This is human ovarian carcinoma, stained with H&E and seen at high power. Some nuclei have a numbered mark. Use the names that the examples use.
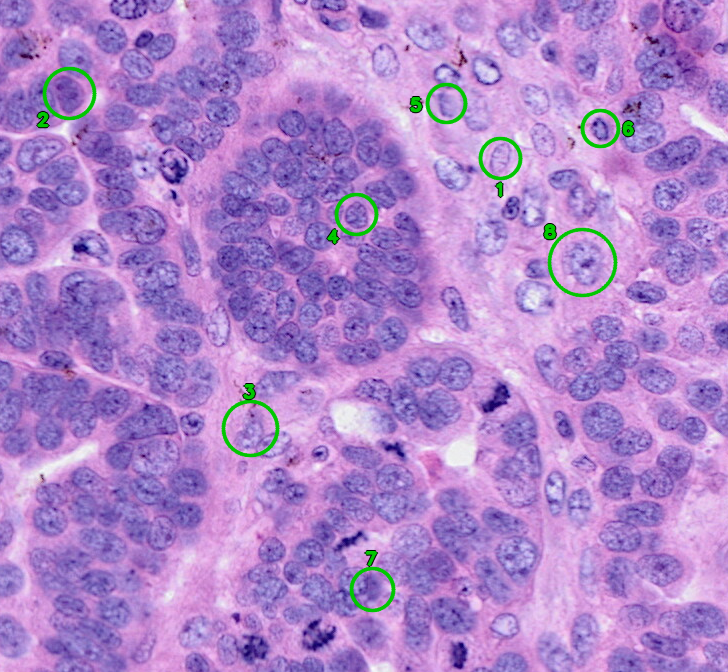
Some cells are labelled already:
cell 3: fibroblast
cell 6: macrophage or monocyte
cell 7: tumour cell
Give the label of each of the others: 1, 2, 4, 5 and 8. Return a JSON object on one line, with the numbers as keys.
{"1": "fibroblast", "2": "tumour cell", "4": "tumour cell", "5": "fibroblast", "8": "fibroblast"}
